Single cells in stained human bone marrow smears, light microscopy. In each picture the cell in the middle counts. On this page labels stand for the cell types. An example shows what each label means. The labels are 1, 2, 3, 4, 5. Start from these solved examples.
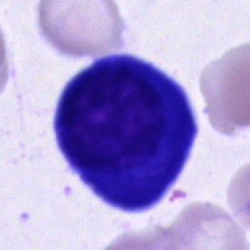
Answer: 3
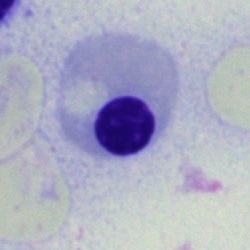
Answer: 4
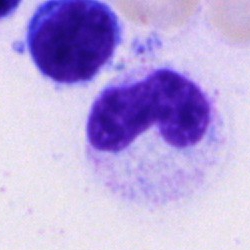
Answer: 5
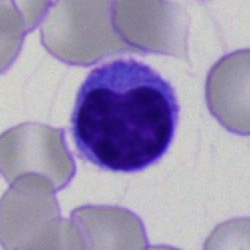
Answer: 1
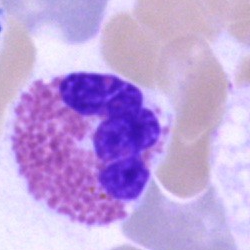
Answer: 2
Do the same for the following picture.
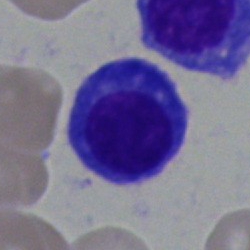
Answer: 3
